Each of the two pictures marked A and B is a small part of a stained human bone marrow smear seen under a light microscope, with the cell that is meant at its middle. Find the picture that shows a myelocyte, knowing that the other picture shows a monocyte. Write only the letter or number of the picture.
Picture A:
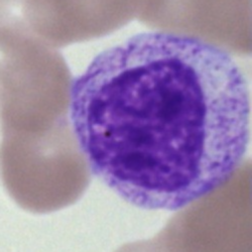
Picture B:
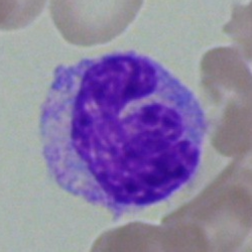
A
